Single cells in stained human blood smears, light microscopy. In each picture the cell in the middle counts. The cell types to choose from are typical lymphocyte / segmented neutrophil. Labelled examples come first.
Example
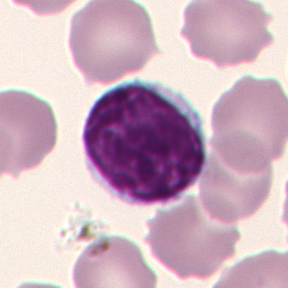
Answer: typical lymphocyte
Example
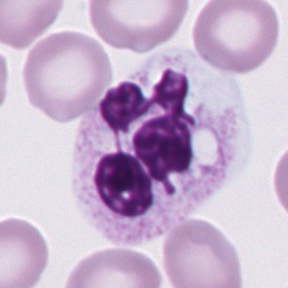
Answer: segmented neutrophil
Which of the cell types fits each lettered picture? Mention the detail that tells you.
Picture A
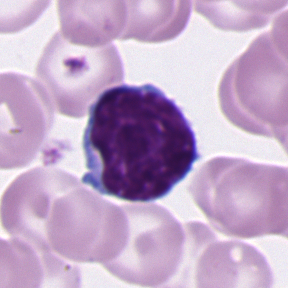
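typical lymphocyte: The cytoplasm forms only a thin rim that is widest on the left side.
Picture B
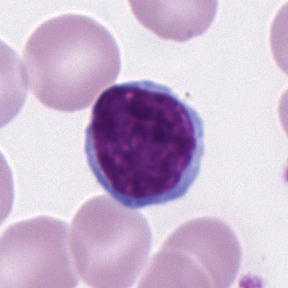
typical lymphocyte: The cytoplasm forms only a thin rim around the nucleus.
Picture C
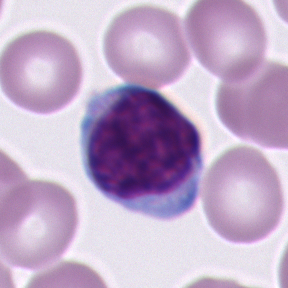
typical lymphocyte: The cytoplasm forms only a narrow rim around the nucleus.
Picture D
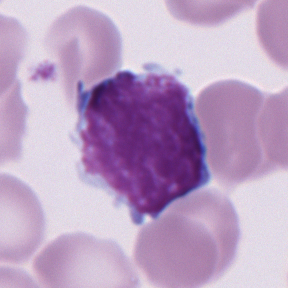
typical lymphocyte: The nucleus fills almost the whole cell.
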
